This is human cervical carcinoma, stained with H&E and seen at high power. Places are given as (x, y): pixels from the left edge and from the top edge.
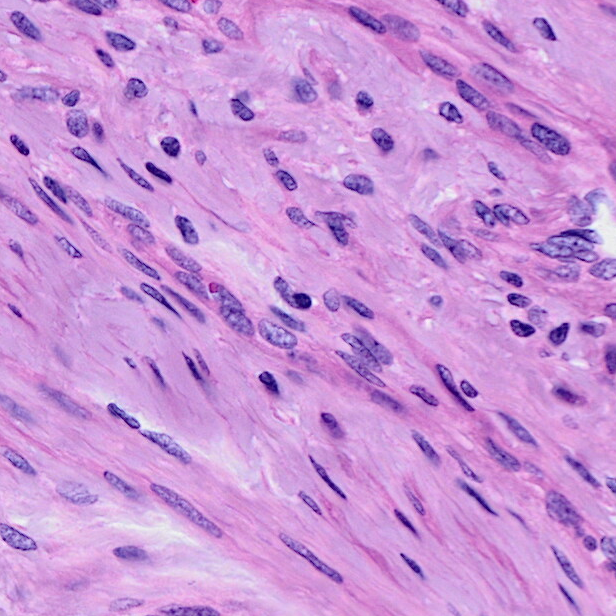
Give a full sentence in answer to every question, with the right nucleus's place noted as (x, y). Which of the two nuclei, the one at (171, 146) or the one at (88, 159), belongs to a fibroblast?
Identified as belonging to a fibroblast is the nucleus at (88, 159).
